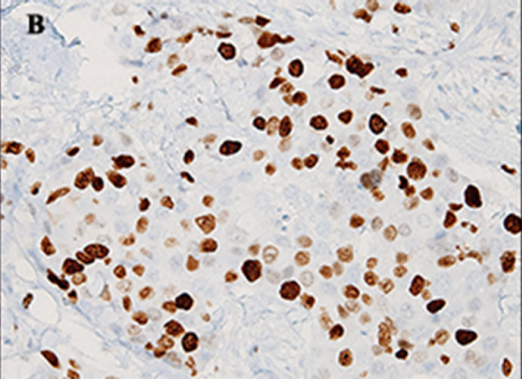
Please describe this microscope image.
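This is a nest of tumor cells in which many nuclei are stained brown against a pale blue background. The brown stain lies in the nuclei, which are round to oval. Its intensity varies widely: some nuclei are very dark brown, others only light tan, and some are left blue. The stained cells cluster within the tumor nest, while the surrounding pale stroma holds few of them.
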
